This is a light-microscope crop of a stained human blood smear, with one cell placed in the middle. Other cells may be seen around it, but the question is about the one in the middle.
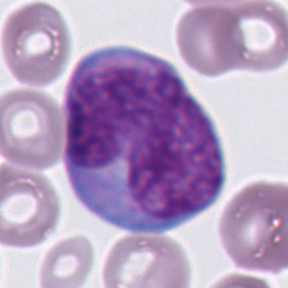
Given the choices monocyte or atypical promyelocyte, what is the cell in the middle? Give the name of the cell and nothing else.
atypical promyelocyte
